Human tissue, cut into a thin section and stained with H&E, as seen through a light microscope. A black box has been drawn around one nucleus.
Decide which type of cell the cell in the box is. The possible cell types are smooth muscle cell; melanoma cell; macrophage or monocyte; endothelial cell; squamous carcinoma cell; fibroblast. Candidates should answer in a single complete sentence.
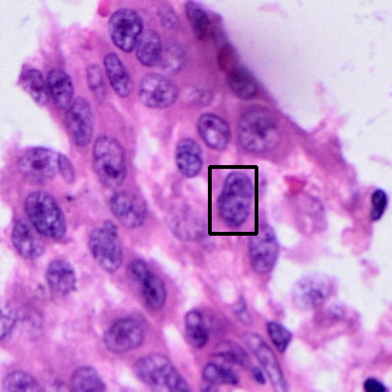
As for its identity, the cell in the box is a melanoma cell.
